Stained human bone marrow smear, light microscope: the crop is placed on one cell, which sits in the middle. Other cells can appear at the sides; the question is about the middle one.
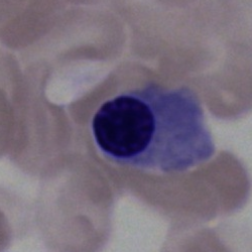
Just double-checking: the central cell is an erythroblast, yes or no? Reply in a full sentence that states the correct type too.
Yes, the cell at the midpoint of the crop is an erythroblast.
